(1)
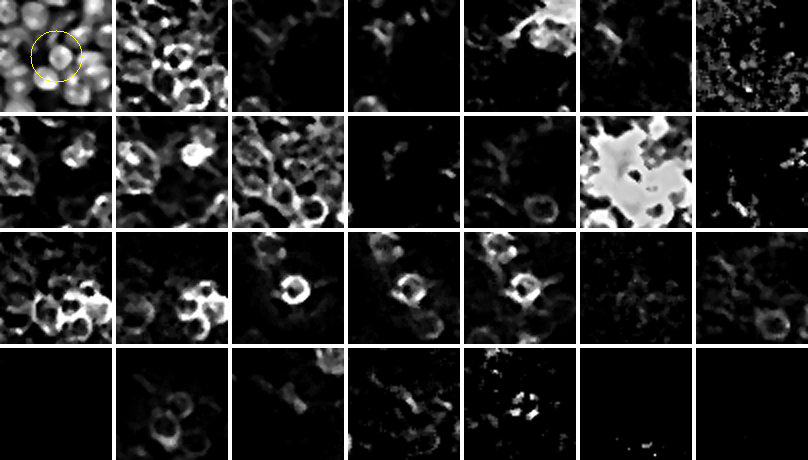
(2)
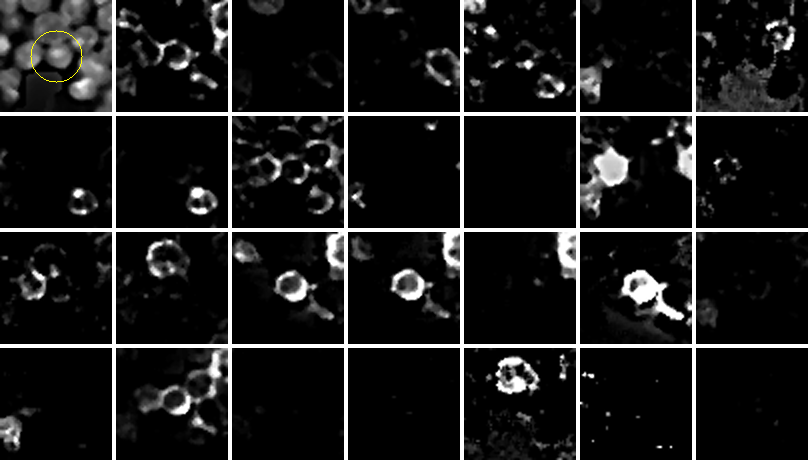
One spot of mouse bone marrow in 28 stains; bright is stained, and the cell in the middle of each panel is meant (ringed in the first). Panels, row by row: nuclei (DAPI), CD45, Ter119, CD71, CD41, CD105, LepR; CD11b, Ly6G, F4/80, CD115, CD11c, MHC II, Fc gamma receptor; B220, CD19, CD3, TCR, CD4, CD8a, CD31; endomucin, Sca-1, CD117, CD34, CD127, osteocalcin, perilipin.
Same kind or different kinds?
Different: the first is a CD4 T cell, the second a CD8 T cell.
